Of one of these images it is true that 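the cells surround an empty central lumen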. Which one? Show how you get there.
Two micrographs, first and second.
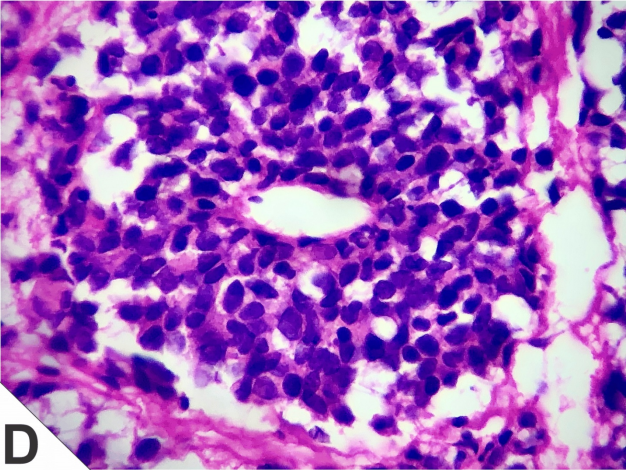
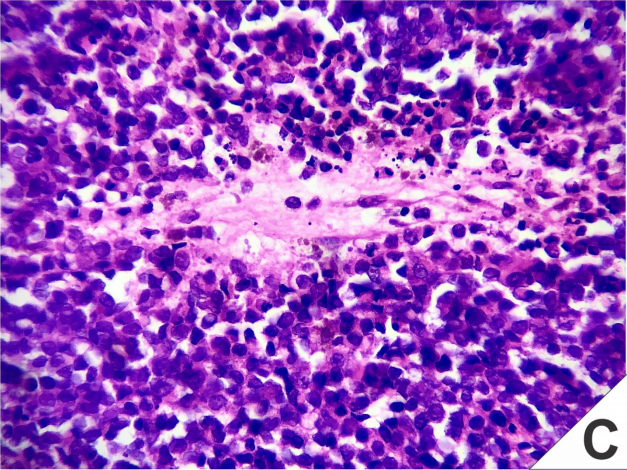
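First image: cells encircle a clear, empty oval space. Second image: the centre of the cell arrangement is filled with pink fibrillary material.
Answer: the first image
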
